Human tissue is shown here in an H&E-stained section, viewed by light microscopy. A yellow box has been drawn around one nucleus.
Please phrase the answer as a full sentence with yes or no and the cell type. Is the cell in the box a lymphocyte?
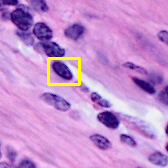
Yes, the cell in the box is properly called a lymphocyte in this section.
